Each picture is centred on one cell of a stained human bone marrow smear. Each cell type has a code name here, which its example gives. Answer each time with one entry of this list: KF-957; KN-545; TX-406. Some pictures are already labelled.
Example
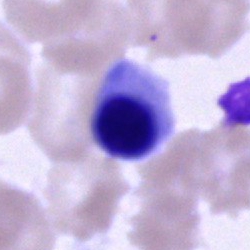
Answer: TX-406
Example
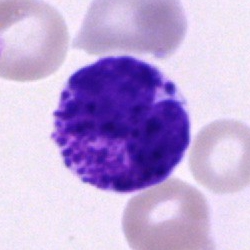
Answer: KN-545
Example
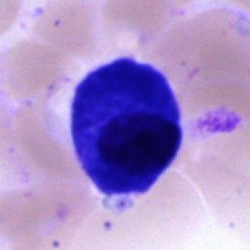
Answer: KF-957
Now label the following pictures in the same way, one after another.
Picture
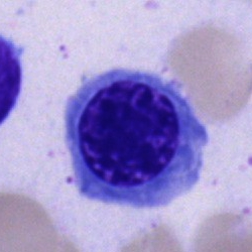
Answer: TX-406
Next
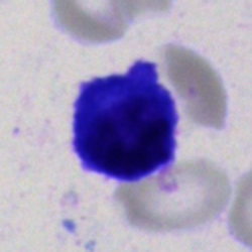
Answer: KF-957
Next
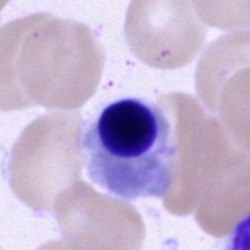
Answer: TX-406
